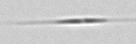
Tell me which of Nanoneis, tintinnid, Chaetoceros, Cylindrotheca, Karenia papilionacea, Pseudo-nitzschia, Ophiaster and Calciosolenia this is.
The picture shows Cylindrotheca.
